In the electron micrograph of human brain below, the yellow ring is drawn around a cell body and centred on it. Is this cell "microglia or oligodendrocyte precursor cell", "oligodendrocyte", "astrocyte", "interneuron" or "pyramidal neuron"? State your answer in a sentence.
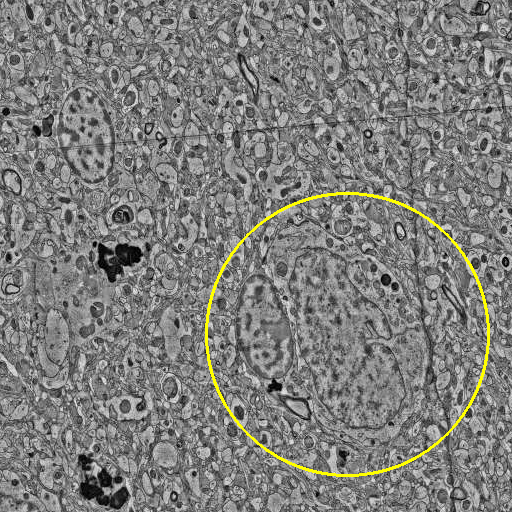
The cell in the middle of the ring is an interneuron.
